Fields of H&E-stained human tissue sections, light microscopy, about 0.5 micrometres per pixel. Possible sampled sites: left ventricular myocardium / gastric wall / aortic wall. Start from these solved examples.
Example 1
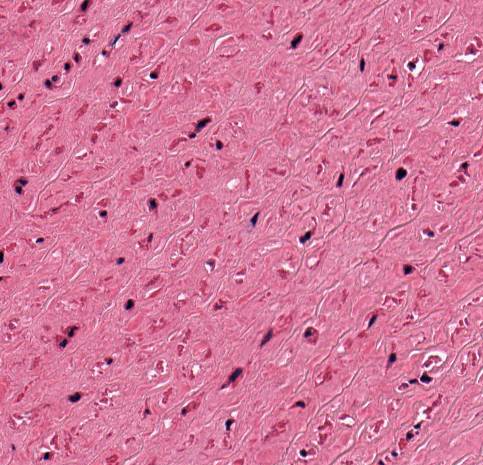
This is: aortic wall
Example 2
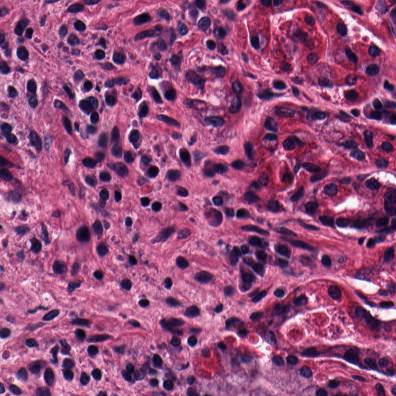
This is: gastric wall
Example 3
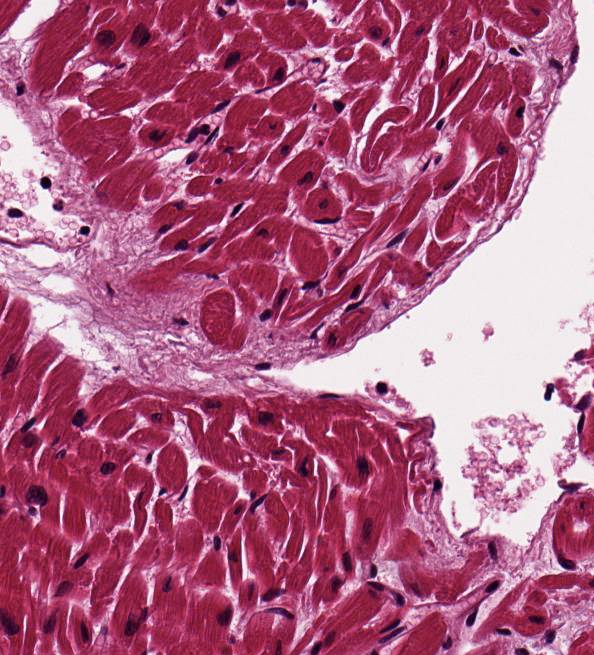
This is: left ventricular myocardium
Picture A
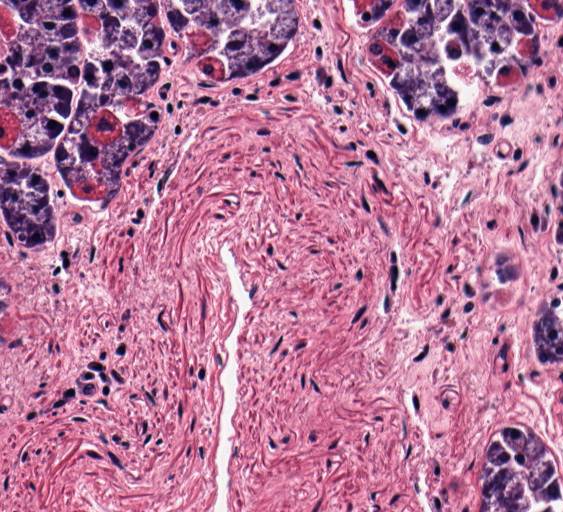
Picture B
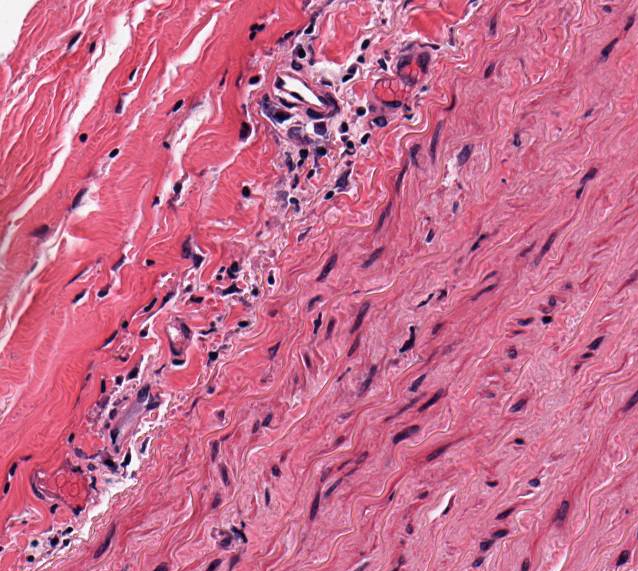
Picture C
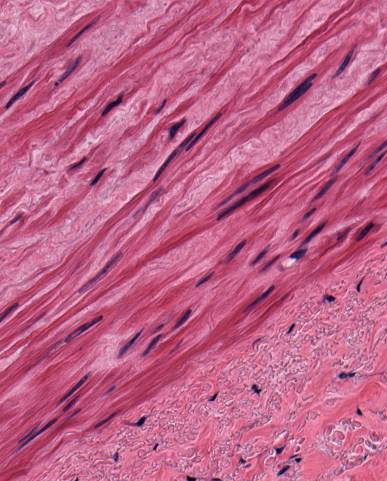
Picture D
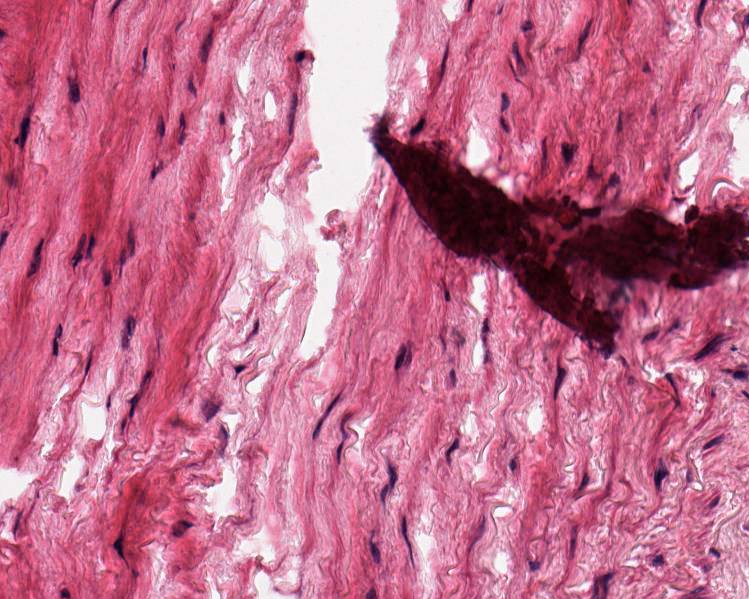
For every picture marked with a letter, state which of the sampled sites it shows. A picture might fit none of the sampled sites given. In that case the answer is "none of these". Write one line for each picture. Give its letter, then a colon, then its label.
A: gastric wall
B: aortic wall
C: none of these
D: aortic wall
